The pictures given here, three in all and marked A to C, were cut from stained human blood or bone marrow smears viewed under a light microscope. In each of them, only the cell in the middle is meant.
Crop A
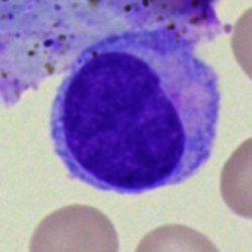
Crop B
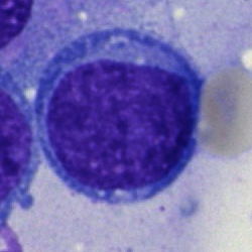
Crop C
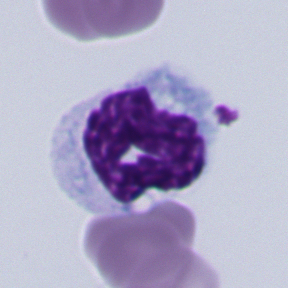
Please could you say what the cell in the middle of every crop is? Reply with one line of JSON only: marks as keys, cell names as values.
{"A": "hairy cell", "B": "blast", "C": "monocyte"}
